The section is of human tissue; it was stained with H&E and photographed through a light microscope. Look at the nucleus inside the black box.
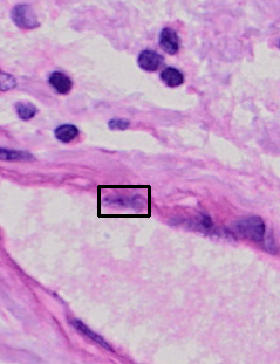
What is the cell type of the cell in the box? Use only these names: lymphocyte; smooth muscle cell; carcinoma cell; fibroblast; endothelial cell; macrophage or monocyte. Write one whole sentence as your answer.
Placed in its cell category, the cell in the box is an endothelial cell.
